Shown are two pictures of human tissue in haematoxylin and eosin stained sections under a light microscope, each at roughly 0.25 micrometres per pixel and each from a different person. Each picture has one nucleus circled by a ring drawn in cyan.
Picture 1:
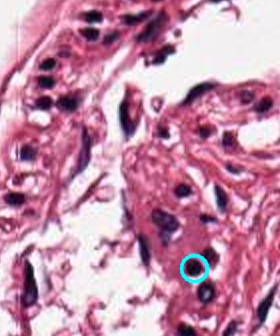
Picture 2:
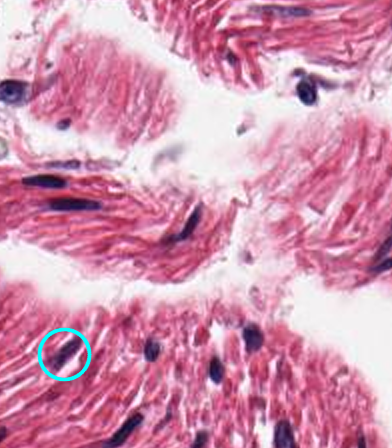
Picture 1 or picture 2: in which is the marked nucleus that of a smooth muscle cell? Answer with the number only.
2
